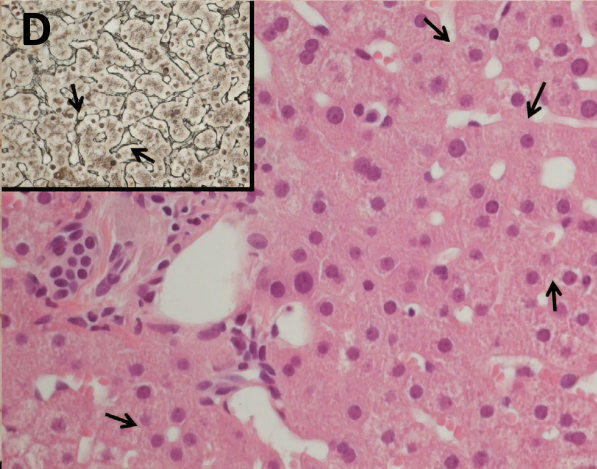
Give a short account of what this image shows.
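Liver parenchyma with hepatocytes and a small portal area at the lower left. The hepatocytes are polygonal with pink, finely granular cytoplasm and round, centrally placed purple nuclei with visible nucleoli; some cells carry two nuclei. Narrow clear sinusoidal spaces run between the cell plates. In places hepatocytes cluster around a tiny central space, forming small ring-like groups. At the lower left, a vessel lumen is surrounded by pink connective tissue and a cluster of small, dark, round-nucleated inflammatory cells.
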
